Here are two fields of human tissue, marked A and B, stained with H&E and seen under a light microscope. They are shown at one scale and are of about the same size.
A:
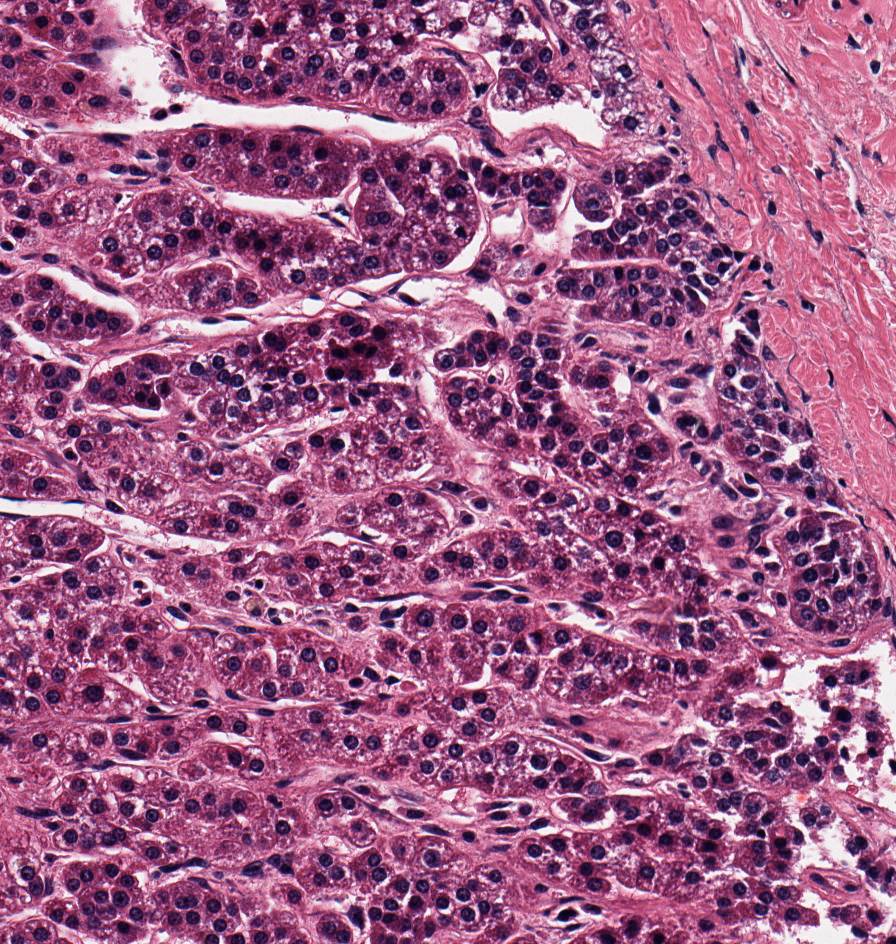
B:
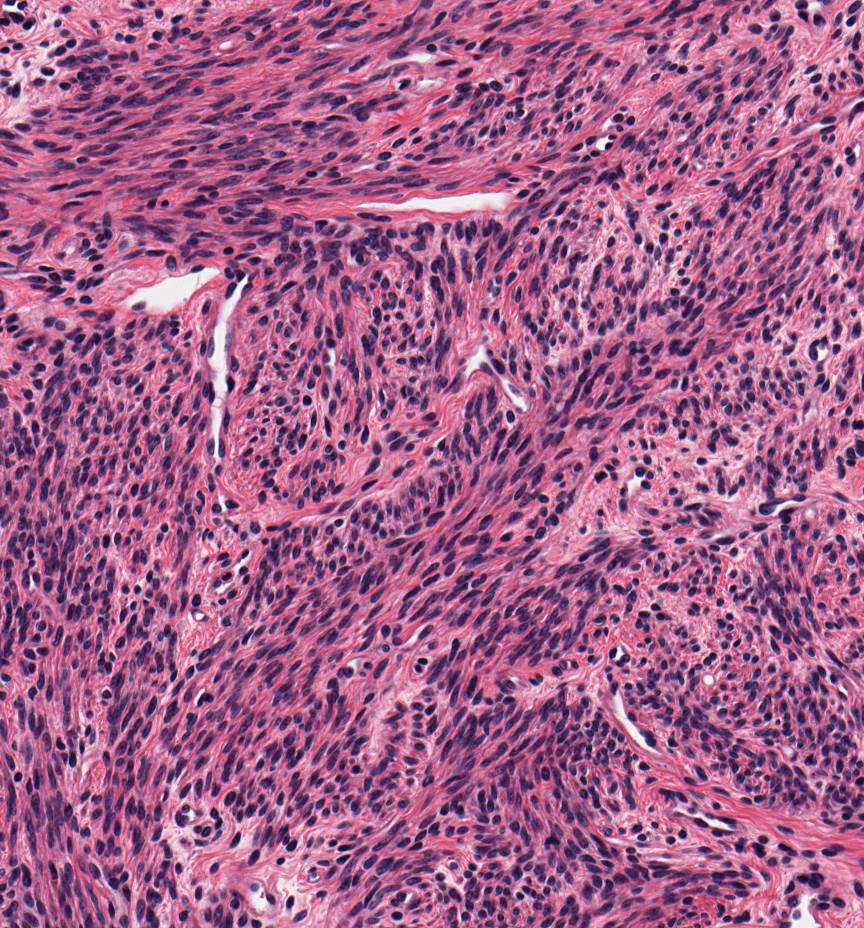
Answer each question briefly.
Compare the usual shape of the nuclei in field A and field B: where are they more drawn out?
B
